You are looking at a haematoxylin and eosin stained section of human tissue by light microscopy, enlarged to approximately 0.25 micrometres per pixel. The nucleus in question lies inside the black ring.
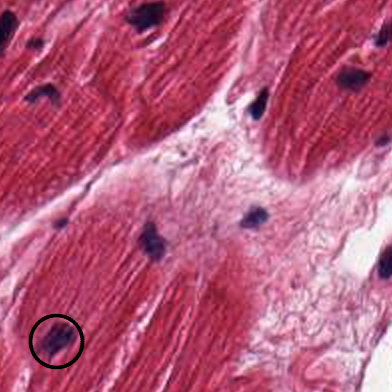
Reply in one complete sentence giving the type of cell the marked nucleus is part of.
It is a cardiomyocyte that the marked nucleus belongs to.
